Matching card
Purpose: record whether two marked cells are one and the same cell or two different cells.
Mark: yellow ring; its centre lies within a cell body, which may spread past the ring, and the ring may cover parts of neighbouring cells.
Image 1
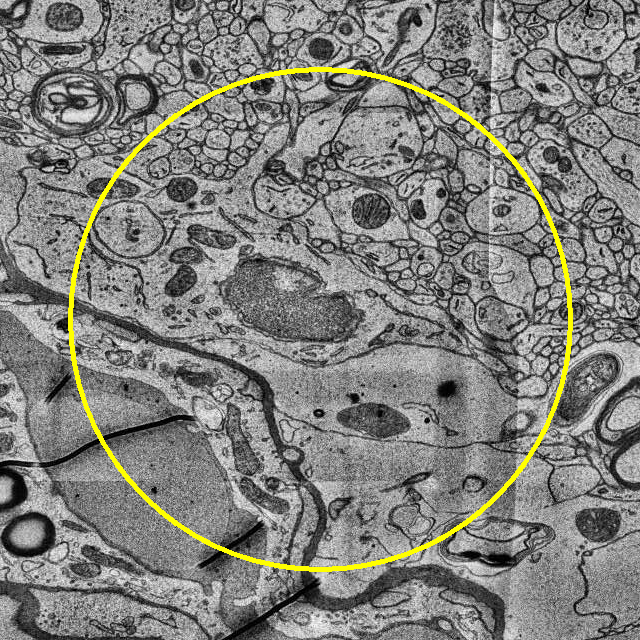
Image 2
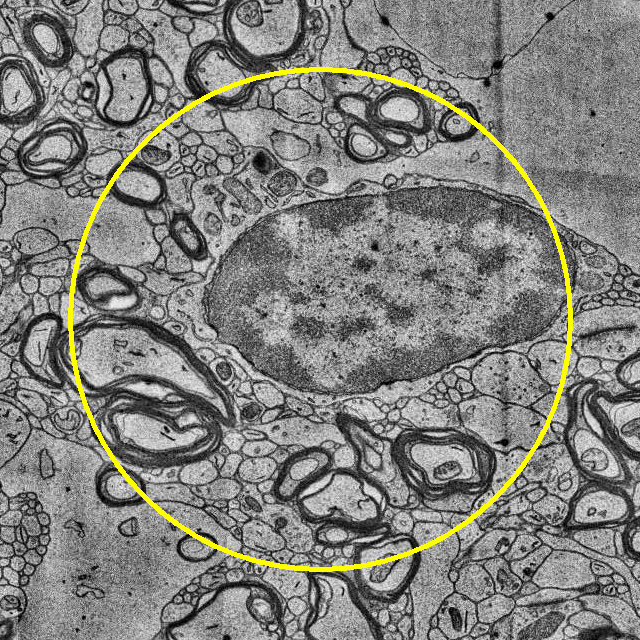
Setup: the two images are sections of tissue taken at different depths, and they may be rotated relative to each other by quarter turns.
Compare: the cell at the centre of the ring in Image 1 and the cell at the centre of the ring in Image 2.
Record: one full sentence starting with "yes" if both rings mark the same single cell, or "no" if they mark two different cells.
No, marked by the two rings are two different cells.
